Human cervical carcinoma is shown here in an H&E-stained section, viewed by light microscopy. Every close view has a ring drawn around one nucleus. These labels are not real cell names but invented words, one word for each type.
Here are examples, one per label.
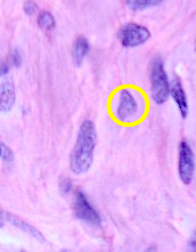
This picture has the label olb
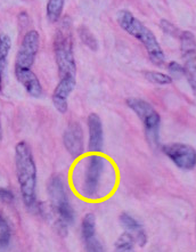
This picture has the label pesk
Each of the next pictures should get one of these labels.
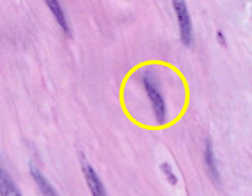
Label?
olb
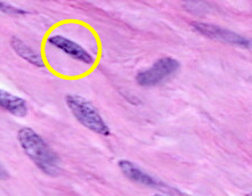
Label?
olb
